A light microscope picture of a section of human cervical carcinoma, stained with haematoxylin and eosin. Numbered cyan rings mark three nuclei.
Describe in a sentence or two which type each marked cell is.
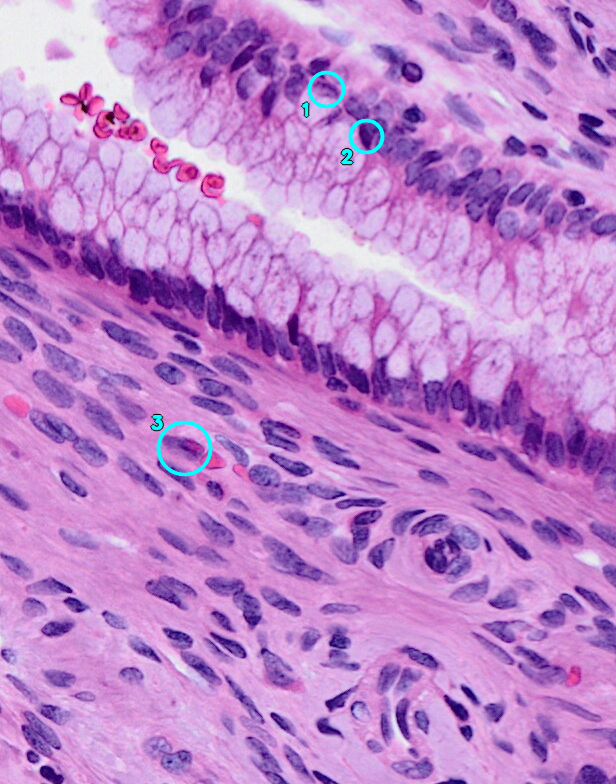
Cell 1 is a secretory epithelial cell, cell 2 is a secretory epithelial cell and cell 3 is an endothelial cell.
